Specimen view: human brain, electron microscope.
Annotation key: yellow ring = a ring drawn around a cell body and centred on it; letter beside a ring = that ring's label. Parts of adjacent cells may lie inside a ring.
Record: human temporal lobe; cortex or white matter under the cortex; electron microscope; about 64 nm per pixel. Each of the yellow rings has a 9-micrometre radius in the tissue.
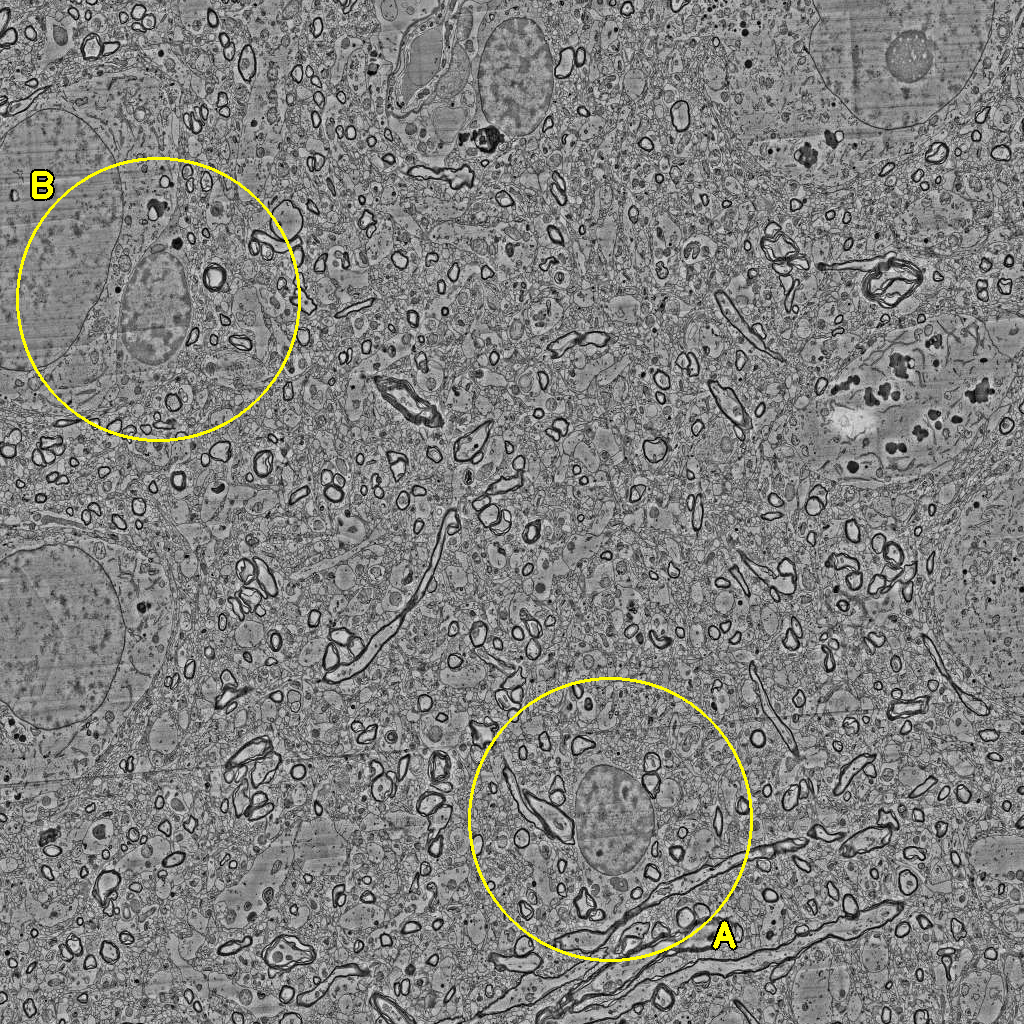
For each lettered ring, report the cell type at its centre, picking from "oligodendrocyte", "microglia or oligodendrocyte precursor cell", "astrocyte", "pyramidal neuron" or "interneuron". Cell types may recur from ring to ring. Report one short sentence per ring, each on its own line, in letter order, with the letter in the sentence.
The cell at the centre of ring A is an oligodendrocyte.
The cell at the centre of ring B is an oligodendrocyte.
